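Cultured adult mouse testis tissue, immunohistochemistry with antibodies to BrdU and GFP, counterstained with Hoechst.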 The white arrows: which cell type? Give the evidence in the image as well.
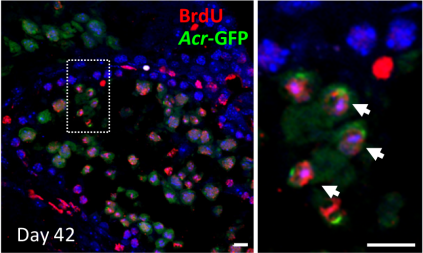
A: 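The arrowed cells in the enlargement are small and round, each with a round blue nucleus. Red signal lies over the nuclei of the arrowed cells. A green signal sits at one side of each arrowed nucleus.
Conclusion: round spermatids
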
